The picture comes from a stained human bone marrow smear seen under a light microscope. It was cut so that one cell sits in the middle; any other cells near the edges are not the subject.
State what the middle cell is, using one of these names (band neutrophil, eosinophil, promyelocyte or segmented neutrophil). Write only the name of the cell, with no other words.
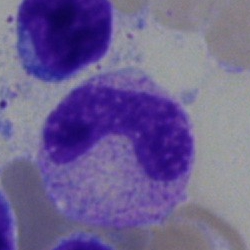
band neutrophil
